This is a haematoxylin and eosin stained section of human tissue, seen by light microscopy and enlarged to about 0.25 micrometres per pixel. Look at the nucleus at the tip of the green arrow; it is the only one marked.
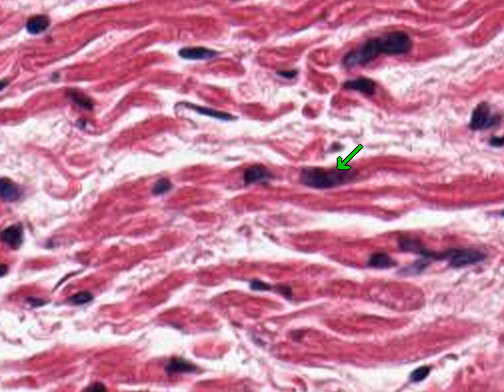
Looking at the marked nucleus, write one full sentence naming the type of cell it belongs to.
Within a cardiomyocyte lies the marked nucleus.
